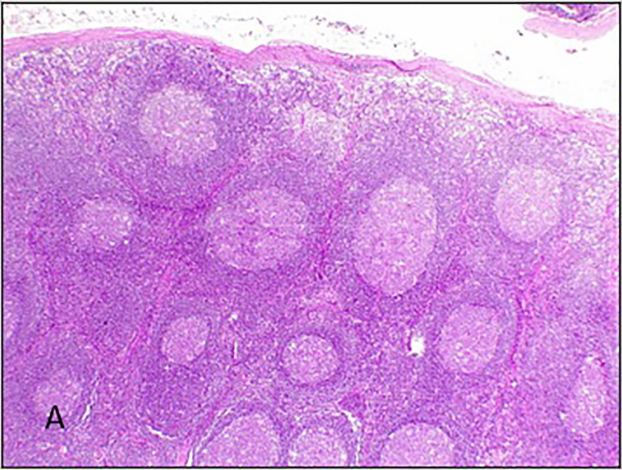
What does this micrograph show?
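Lymph node at low magnification, with many secondary follicles crowded beneath the capsule. The follicles are round to oval, with pale pink germinal centers each surrounded by a darker purple rim of densely packed small lymphocytes. A thin pink capsule runs along the upper edge.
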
